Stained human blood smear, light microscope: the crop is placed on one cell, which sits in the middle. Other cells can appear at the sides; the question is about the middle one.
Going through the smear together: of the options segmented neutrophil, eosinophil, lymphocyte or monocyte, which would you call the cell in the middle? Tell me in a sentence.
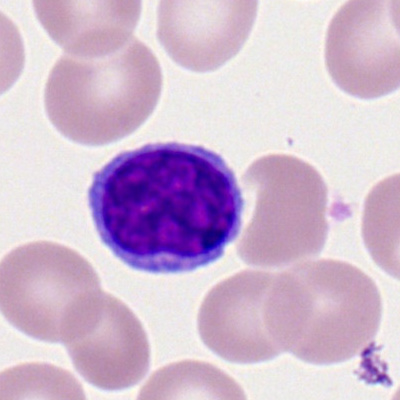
The middle of this crop holds a lymphocyte.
